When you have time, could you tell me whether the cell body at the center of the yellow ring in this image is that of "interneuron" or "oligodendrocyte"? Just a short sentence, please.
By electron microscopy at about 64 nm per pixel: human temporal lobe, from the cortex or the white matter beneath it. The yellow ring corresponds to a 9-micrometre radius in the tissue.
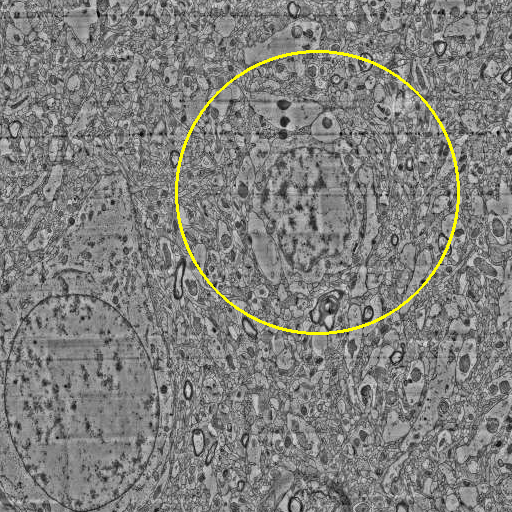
The cell body at the center of the ring is that of an interneuron.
